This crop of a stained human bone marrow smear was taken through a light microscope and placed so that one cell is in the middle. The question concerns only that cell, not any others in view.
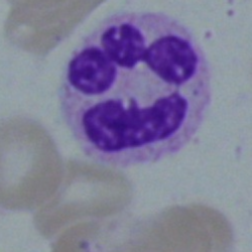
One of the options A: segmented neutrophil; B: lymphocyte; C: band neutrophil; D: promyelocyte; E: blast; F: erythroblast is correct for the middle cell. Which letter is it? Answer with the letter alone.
A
